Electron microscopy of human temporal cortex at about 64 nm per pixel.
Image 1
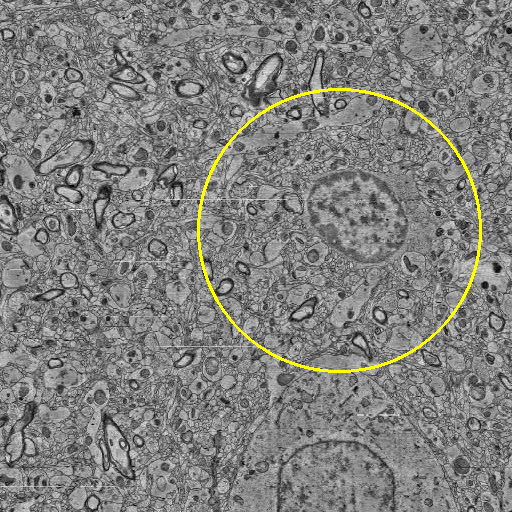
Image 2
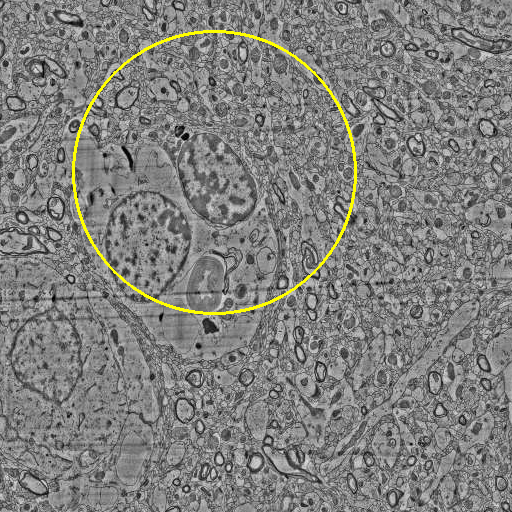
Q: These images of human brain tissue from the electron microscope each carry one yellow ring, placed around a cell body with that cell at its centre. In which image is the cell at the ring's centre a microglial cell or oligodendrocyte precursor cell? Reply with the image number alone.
2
